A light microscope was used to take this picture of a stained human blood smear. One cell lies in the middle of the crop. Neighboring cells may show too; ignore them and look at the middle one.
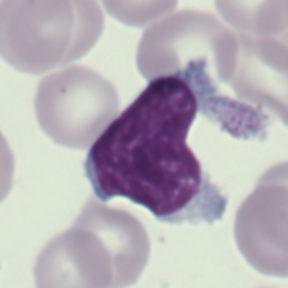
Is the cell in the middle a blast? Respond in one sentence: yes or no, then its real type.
No, the central cell is not a blast; it is a lymphocyte.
